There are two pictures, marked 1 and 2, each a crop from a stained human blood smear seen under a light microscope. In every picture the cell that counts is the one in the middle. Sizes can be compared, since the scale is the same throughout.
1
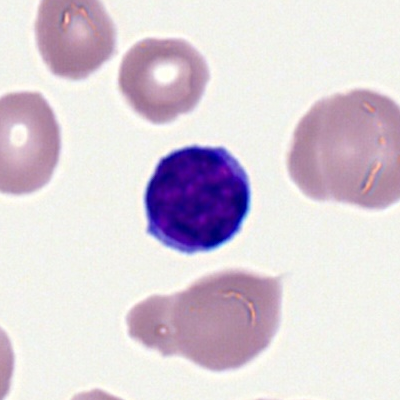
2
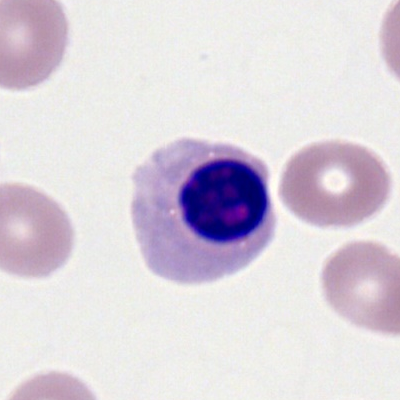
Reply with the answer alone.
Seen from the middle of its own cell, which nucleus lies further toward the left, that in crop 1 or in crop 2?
1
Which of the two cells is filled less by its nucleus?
2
